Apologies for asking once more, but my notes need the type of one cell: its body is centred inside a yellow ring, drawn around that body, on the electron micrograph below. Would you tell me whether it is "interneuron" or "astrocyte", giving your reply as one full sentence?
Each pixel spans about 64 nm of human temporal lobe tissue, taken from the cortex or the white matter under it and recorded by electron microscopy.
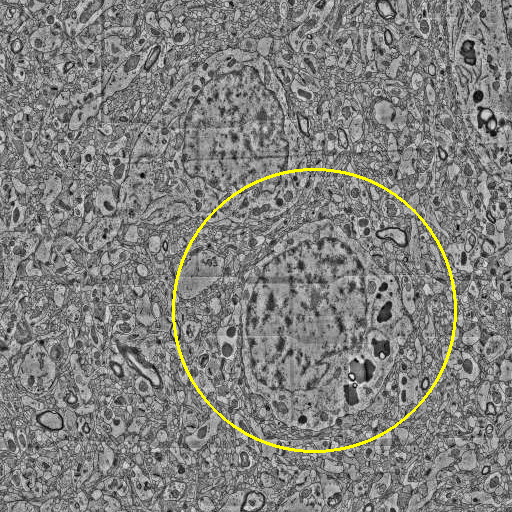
The cell that the yellow ring is centred on is an interneuron in this micrograph.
